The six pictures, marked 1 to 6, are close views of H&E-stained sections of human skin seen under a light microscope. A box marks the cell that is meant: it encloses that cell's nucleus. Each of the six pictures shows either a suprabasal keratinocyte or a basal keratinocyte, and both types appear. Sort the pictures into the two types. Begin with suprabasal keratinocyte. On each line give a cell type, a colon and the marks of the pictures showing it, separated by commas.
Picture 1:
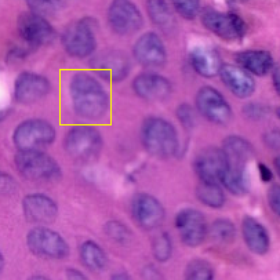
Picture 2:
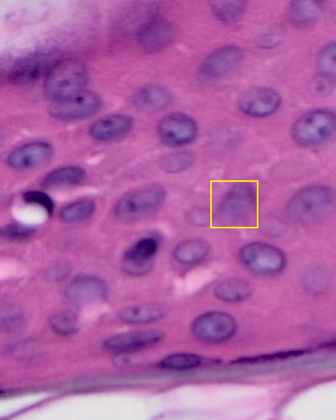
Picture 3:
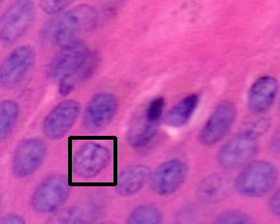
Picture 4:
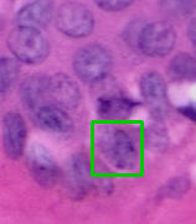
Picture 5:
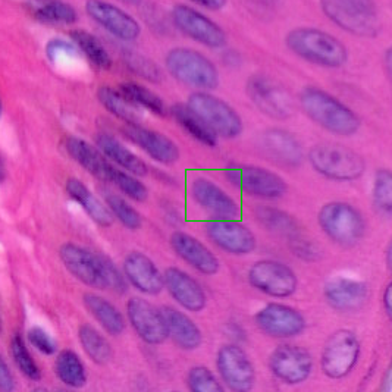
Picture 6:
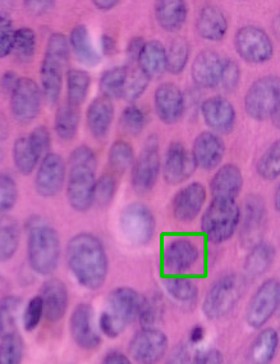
suprabasal keratinocyte: 1, 2, 3, 5
basal keratinocyte: 4, 6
